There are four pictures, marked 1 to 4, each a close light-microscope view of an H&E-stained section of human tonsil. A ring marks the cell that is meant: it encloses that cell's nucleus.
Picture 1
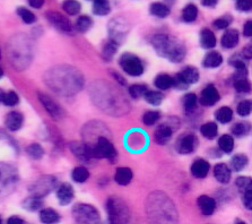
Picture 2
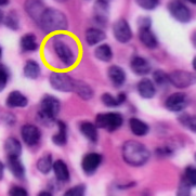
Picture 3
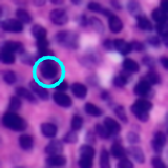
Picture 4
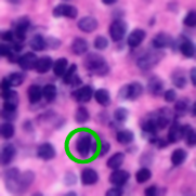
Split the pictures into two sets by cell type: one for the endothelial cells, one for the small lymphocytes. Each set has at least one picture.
1: endothelial cell
2: endothelial cell
3: small lymphocyte
4: small lymphocyte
